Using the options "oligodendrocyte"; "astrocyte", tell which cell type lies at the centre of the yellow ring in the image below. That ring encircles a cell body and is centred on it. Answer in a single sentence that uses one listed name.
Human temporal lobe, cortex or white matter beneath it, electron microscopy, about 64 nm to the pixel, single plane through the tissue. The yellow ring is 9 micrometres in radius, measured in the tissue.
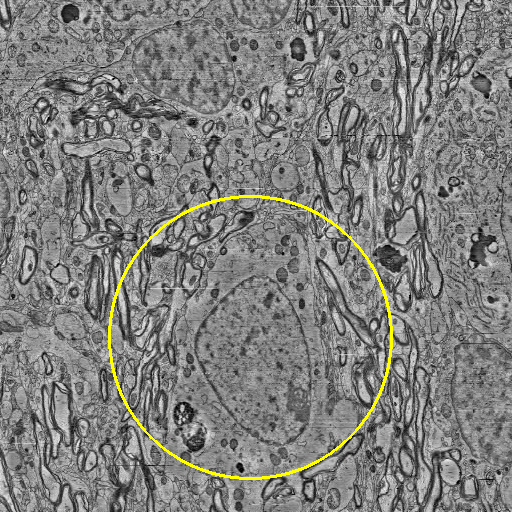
At the centre of the yellow ring lies the body of an astrocyte.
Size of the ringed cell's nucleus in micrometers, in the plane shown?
Roughly 11 by 7 micrometers, clearly longer than it is wide in this plane.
